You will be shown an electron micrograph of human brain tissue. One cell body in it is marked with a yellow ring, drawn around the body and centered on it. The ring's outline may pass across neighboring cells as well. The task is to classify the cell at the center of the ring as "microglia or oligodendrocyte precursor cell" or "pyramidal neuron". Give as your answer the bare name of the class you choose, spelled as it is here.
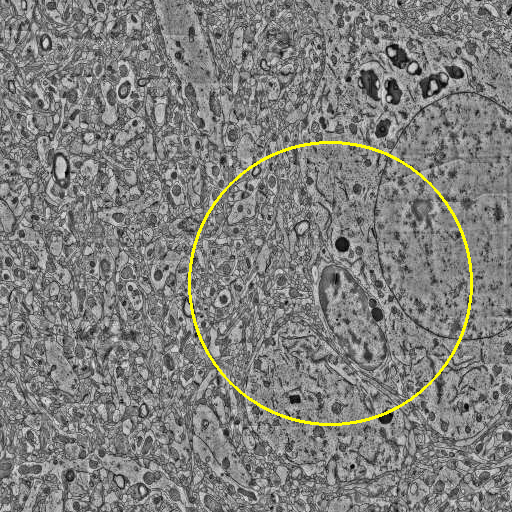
microglia or oligodendrocyte precursor cell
